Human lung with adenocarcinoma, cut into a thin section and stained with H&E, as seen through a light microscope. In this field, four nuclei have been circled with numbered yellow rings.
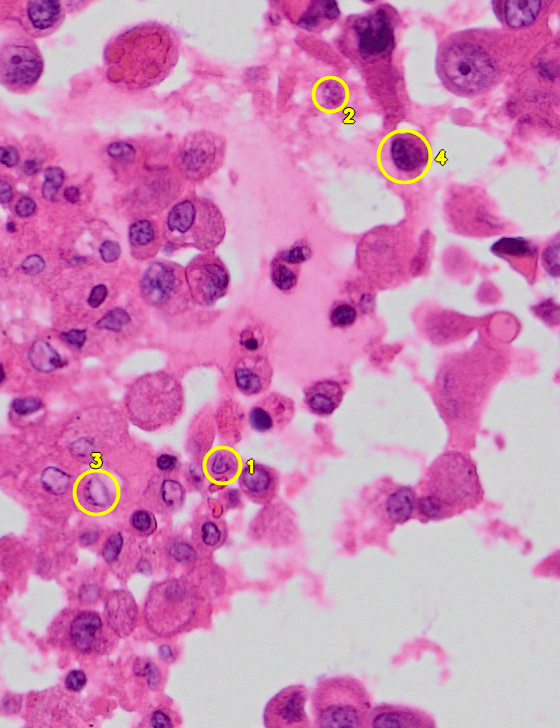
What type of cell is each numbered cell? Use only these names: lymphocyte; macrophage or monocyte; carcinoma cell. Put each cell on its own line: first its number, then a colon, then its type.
1: macrophage or monocyte
2: macrophage or monocyte
3: macrophage or monocyte
4: carcinoma cell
